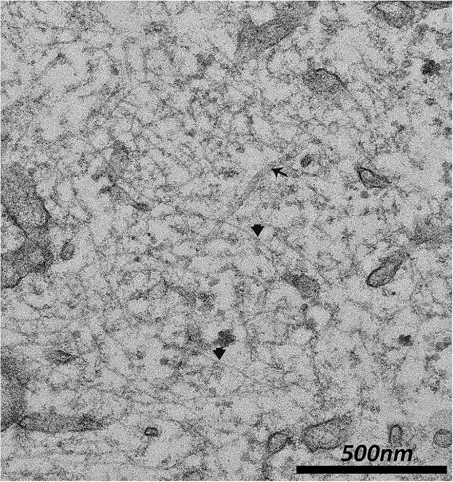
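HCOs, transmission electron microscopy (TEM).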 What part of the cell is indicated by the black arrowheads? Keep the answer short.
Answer: Intermediate filaments.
